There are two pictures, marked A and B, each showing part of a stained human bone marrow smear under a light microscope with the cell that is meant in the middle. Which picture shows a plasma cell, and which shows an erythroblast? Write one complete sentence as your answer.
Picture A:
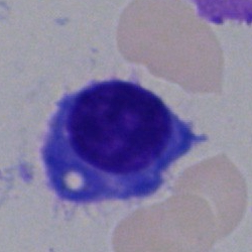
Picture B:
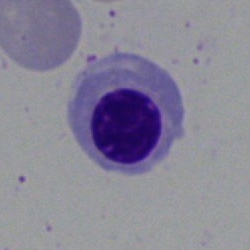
The cell in picture A is a plasma cell, and the one in picture B is an erythroblast.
